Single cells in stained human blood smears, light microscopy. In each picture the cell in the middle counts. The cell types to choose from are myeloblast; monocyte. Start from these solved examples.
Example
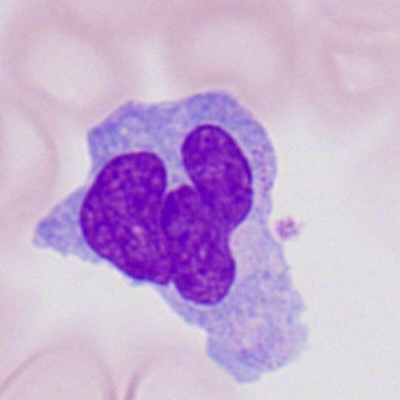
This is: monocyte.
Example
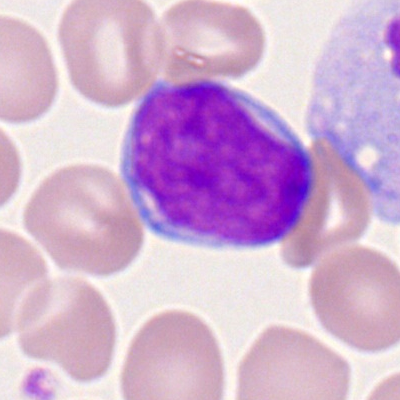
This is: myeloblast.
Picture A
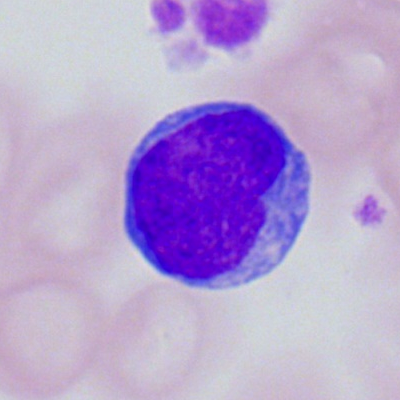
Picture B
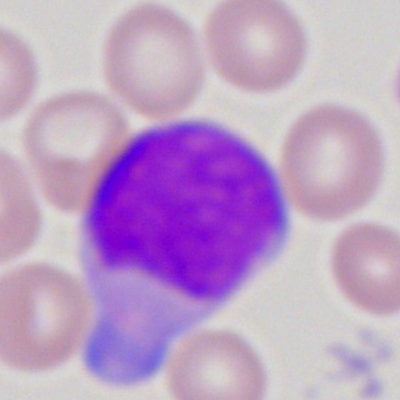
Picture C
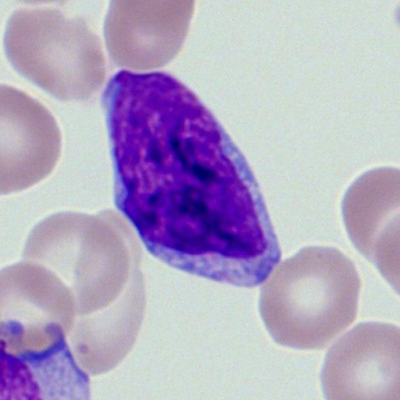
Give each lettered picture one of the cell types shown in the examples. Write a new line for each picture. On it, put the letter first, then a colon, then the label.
A: myeloblast.
B: myeloblast.
C: myeloblast.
